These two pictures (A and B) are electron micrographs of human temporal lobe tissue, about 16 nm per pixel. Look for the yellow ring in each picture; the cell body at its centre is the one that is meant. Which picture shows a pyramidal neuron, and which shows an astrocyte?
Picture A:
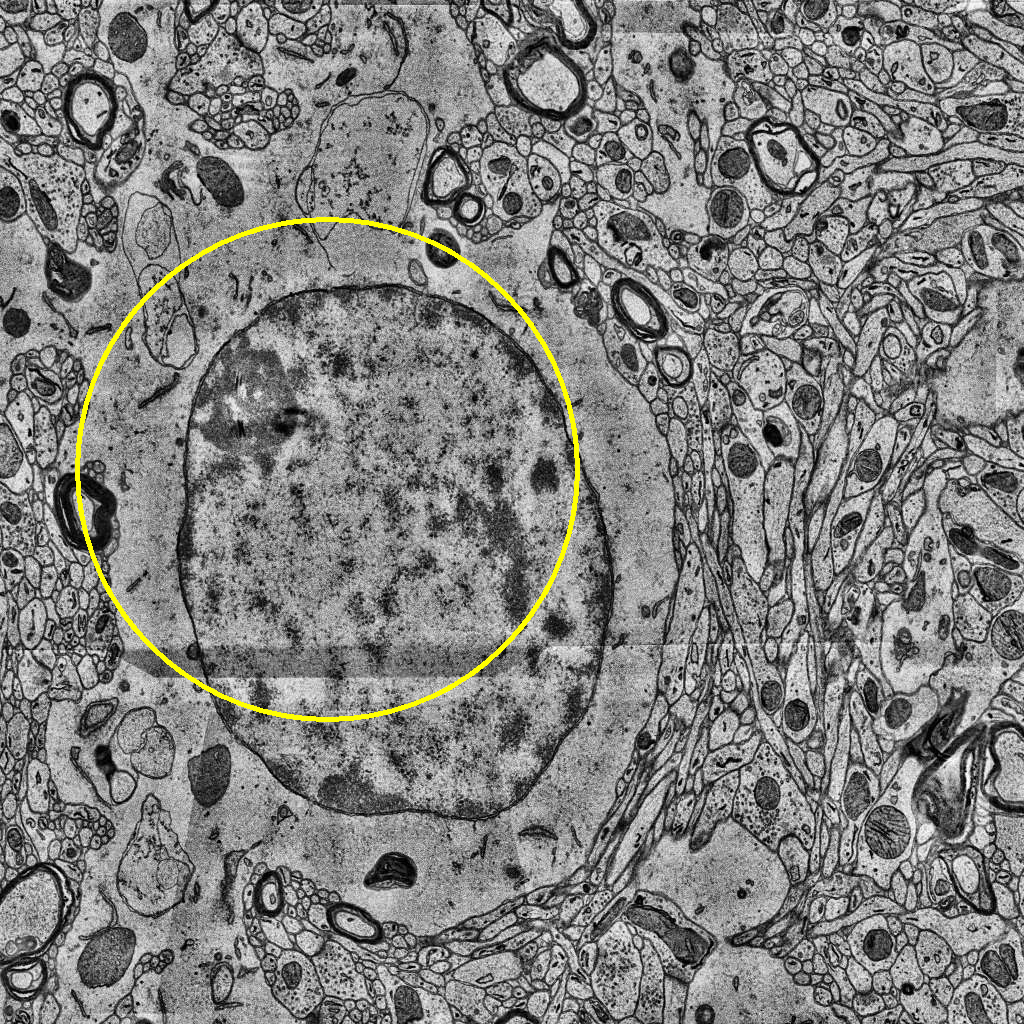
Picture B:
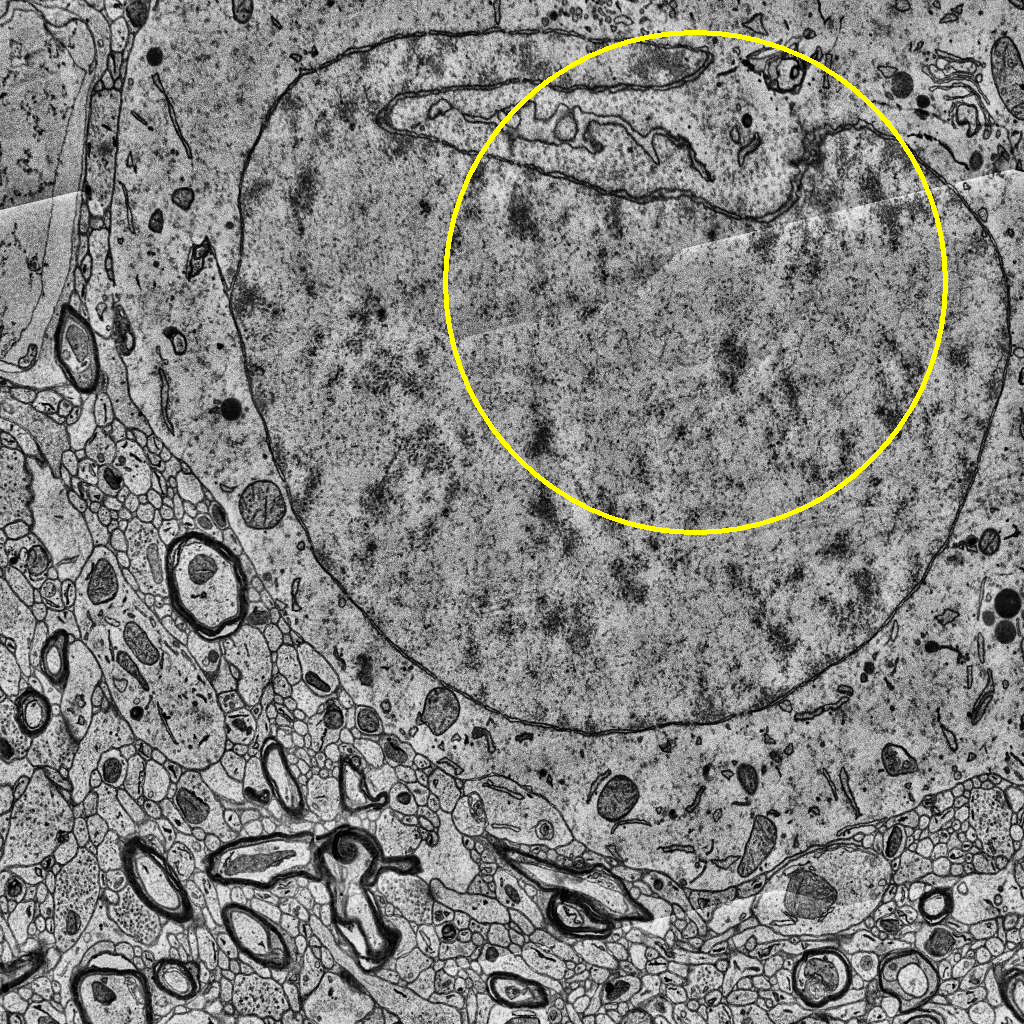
It is picture A that shows an astrocyte, and picture B that shows a pyramidal neuron.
